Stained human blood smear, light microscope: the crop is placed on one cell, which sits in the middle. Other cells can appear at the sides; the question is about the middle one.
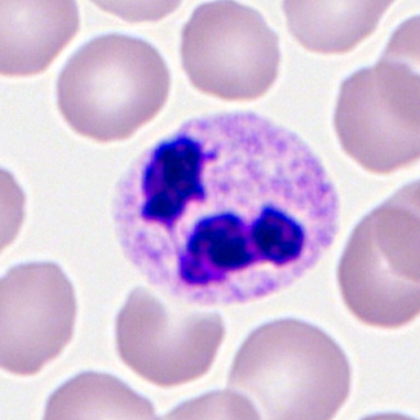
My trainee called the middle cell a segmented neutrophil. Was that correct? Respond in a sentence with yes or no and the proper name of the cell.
Yes, the cell in the middle is a segmented neutrophil.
